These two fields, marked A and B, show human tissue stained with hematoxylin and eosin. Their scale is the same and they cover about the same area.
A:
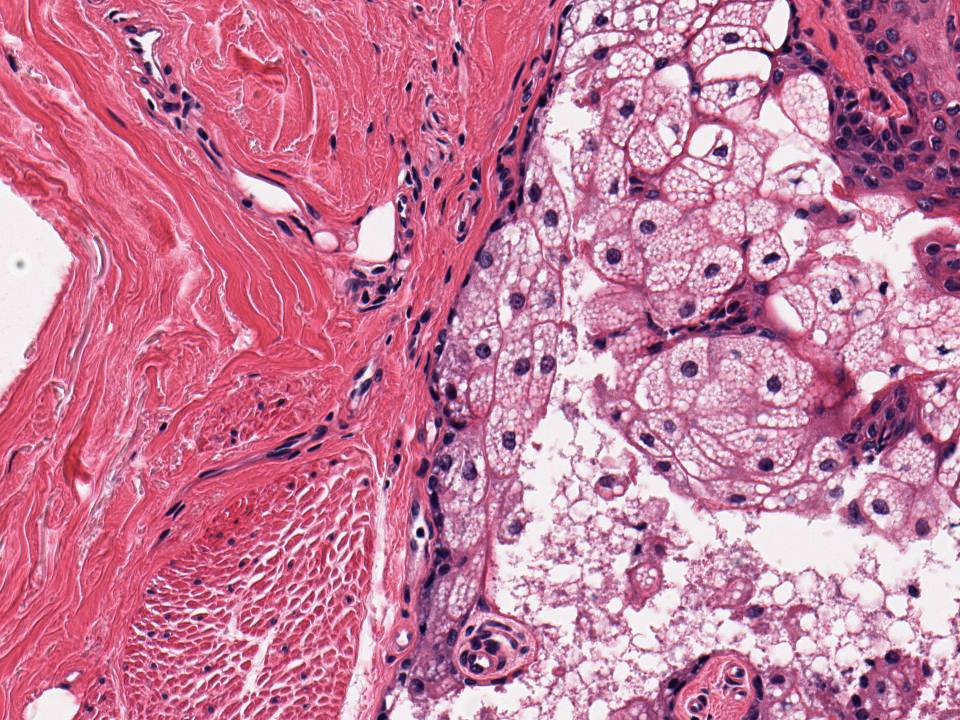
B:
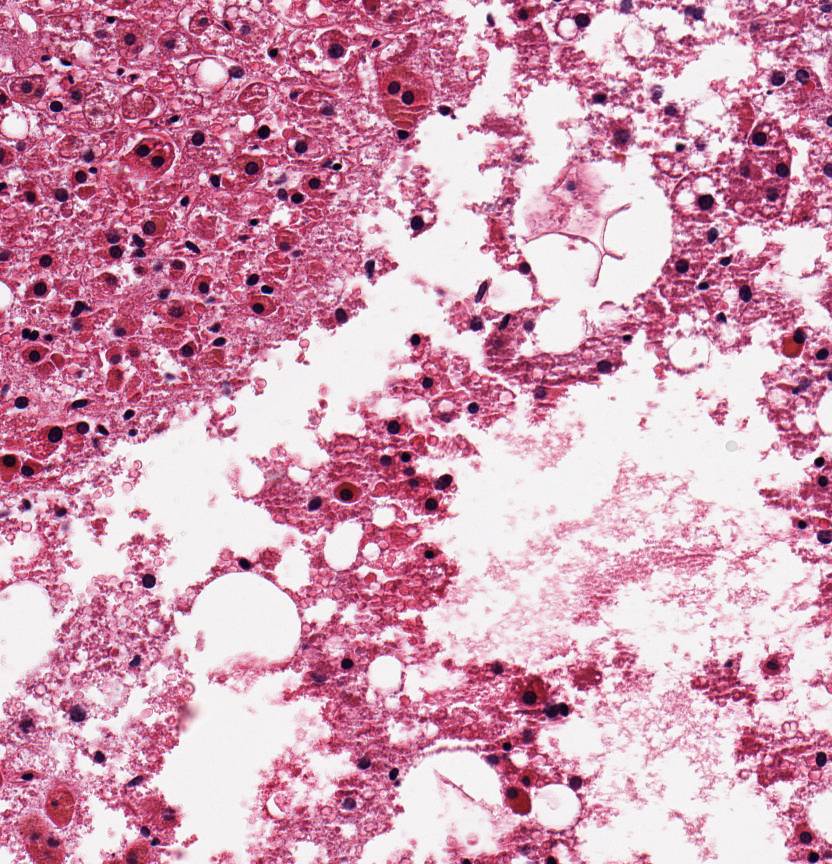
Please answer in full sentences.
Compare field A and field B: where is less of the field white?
Less of field A is empty and white.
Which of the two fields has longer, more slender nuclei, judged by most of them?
Longer, more slender nuclei lie in field A.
